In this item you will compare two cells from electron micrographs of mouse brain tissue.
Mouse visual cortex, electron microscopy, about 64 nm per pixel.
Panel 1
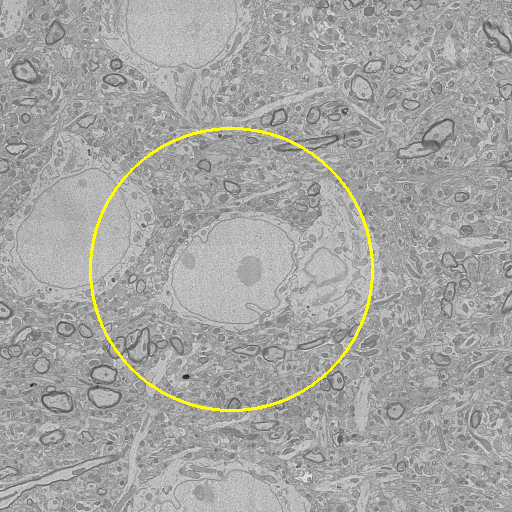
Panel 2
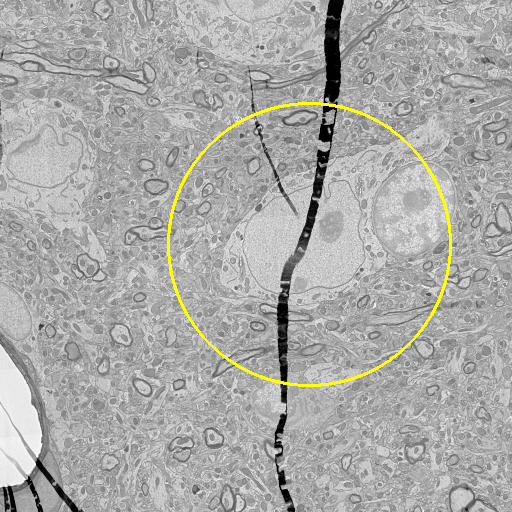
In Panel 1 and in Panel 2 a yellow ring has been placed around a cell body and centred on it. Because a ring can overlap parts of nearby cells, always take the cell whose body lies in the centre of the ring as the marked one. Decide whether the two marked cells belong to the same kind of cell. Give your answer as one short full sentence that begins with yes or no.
Yes, the two marked cells belong to the same kind of cell.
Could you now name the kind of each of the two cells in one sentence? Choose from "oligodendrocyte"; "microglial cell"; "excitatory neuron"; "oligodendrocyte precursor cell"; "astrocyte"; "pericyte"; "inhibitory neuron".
Each cell at the centre of a ring is an excitatory neuron.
